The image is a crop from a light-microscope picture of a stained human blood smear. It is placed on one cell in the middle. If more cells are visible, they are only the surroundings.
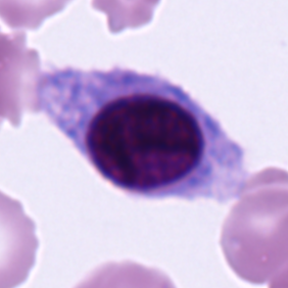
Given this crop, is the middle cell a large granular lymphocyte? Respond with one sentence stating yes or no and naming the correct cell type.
No, it is not a large granular lymphocyte that lies in the middle but a hairy cell.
